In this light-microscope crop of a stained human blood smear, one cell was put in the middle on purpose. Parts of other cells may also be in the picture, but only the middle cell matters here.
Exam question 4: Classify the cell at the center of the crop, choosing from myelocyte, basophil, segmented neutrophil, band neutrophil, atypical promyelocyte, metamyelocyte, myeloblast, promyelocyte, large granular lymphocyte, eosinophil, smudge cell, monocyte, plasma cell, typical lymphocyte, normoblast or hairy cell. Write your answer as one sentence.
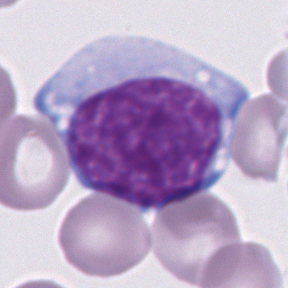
The cell occupying the middle of the crop is a myeloblast.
